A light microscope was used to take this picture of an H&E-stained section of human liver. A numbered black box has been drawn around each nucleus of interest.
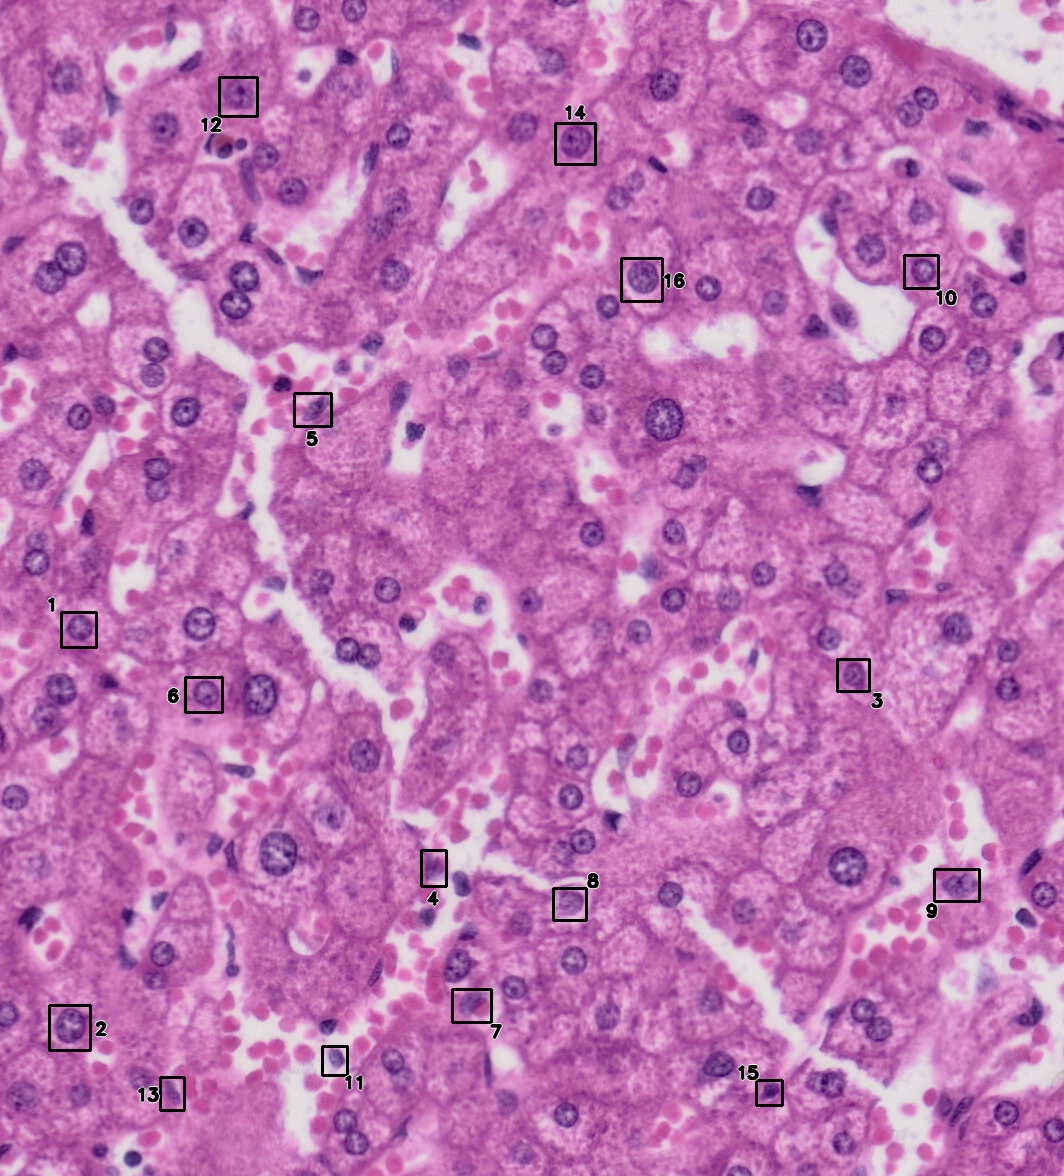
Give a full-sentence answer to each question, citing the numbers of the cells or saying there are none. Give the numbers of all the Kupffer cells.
The cells picked out by numbers 5 and 9 are Kupffer cells.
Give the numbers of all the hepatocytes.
Within this tissue, the cells numbered 1, 2, 3, 6, 8, 10, 12, 14 and 16 are hepatocytes.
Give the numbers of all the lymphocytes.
The numbered cell that is a lymphocyte is cell 11, and it is the only one.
